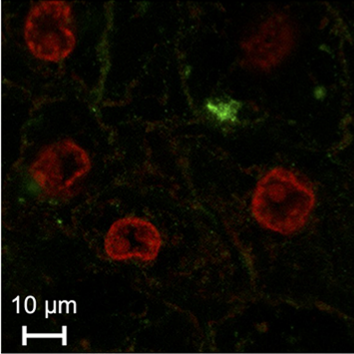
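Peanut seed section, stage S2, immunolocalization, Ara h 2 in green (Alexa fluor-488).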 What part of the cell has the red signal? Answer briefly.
nucleus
